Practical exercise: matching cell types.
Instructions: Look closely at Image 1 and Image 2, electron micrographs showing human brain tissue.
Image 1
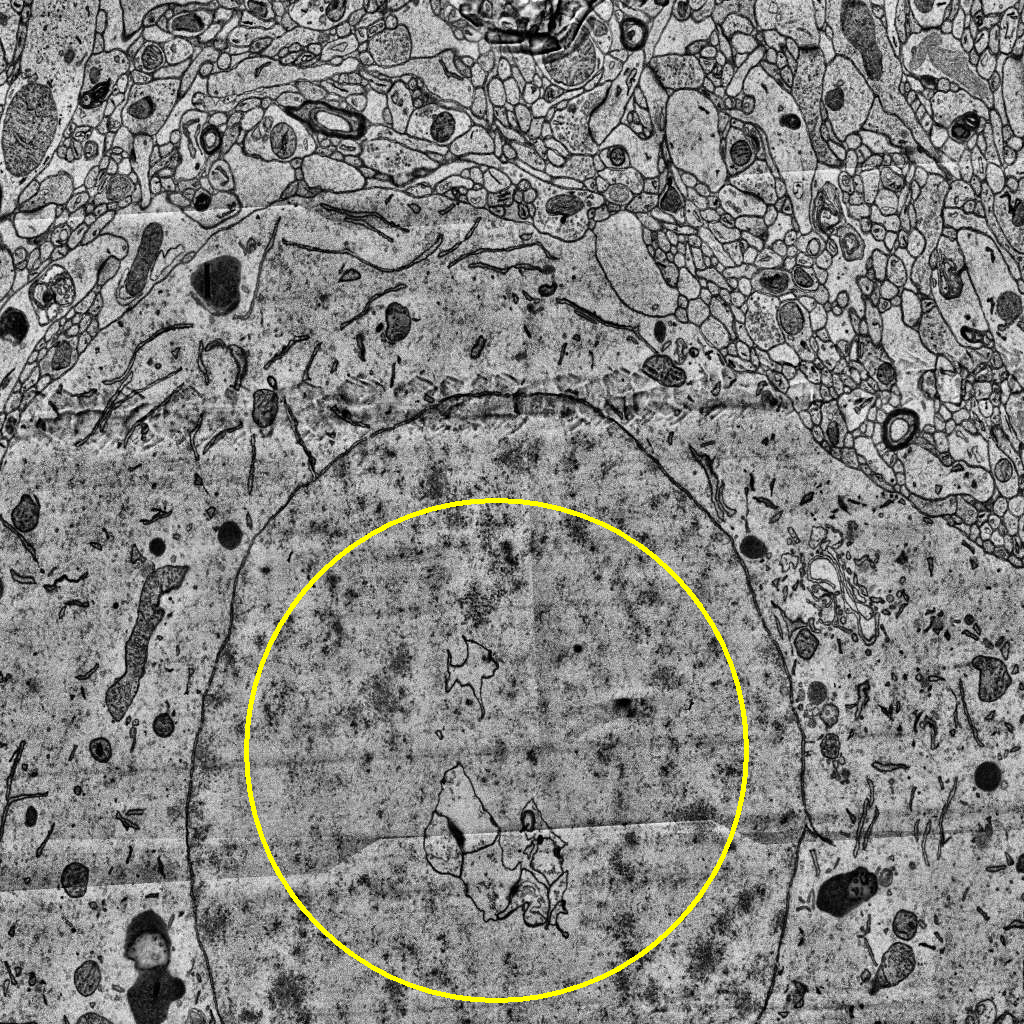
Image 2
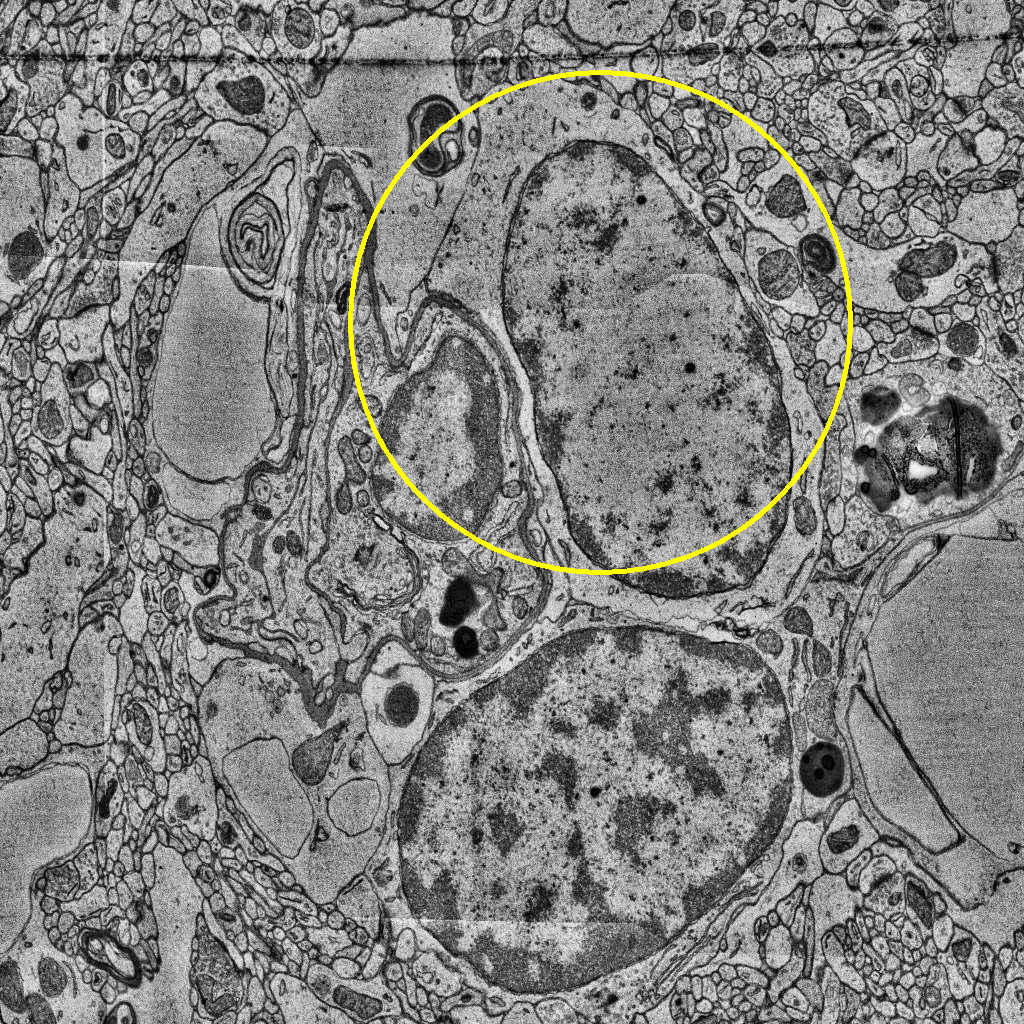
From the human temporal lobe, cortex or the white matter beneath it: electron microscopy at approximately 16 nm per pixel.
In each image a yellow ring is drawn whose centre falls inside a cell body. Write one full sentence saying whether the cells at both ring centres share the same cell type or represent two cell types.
Across Image 1 and Image 2, the cells at the ring centres represent two cell types.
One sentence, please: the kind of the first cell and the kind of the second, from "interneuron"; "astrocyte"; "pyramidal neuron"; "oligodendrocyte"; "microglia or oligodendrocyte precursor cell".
The cell in the first picture is a pyramidal neuron, and the cell in the second is a microglial cell or oligodendrocyte precursor cell.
